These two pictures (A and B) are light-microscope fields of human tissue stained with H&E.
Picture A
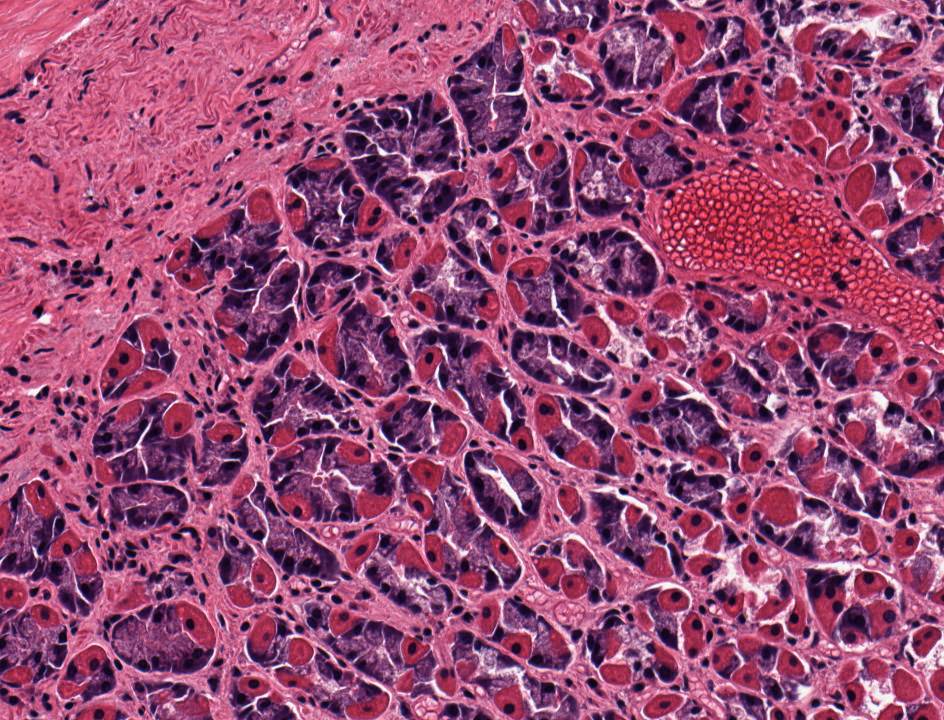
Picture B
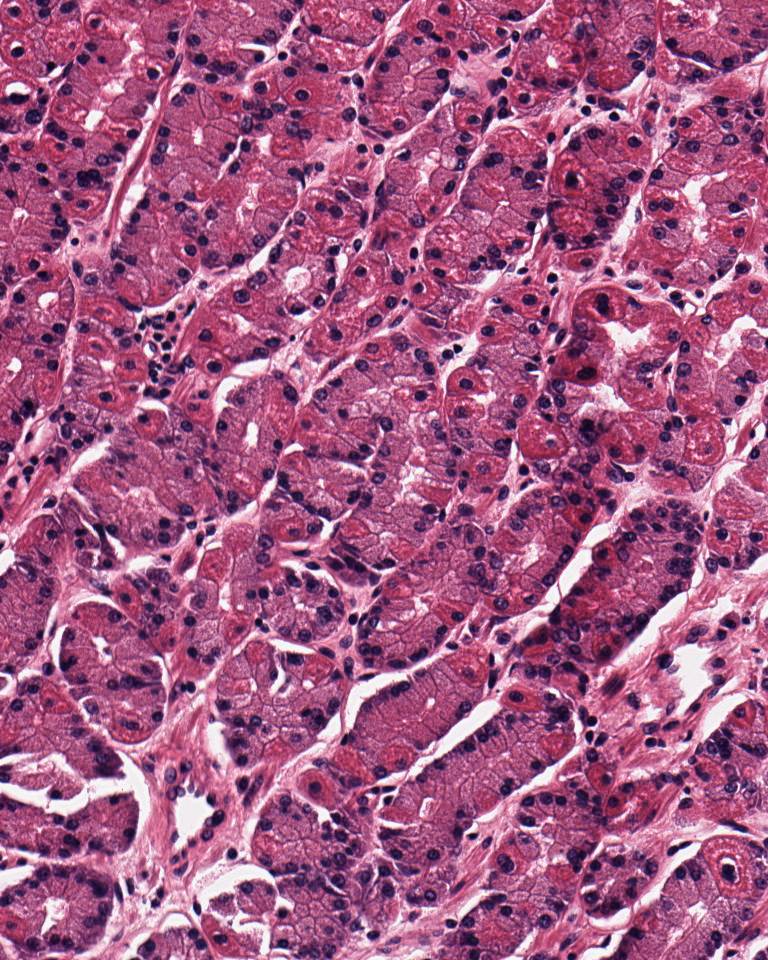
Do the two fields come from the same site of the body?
yes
